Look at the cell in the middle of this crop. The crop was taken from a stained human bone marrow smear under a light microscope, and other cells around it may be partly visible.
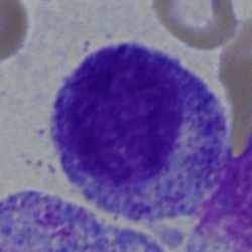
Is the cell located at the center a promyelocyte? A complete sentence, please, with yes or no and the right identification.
No, at the middle of the crop is a myelocyte, not a promyelocyte.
